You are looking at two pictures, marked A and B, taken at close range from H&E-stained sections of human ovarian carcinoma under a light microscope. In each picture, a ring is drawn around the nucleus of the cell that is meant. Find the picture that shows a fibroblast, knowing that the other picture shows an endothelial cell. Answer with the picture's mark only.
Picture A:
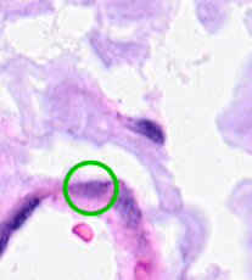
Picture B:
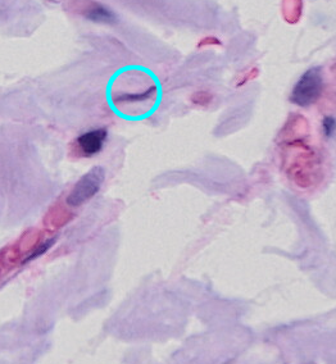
B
